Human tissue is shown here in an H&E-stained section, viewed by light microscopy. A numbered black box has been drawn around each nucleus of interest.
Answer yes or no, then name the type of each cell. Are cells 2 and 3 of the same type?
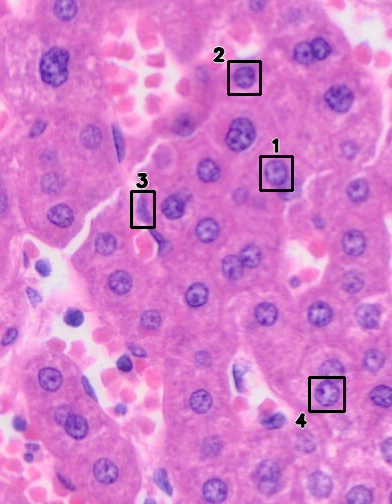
No, cell 2 is a hepatocyte and cell 3 is a fibroblast or stellate cell.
